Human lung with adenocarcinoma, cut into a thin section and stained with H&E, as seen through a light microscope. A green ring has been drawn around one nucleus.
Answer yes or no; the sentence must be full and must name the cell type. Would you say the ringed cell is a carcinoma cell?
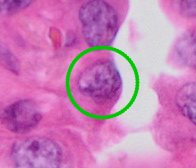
Yes, the ringed cell is, by its type, a carcinoma cell.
